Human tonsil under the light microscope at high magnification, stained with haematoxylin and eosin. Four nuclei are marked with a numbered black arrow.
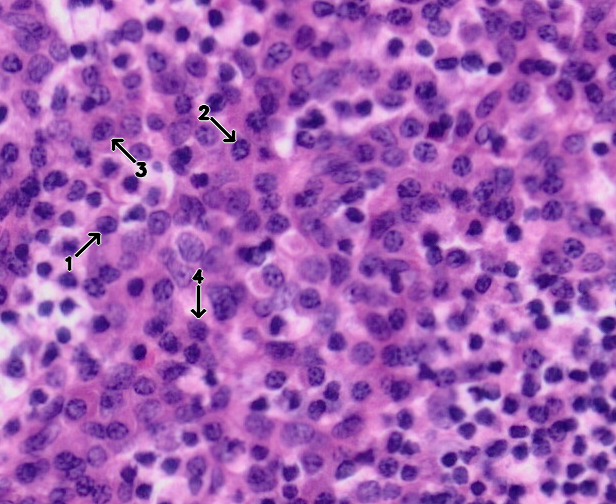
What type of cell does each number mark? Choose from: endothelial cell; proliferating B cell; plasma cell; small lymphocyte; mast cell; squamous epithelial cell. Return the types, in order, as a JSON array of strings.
["plasma cell", "plasma cell", "plasma cell", "squamous epithelial cell"]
